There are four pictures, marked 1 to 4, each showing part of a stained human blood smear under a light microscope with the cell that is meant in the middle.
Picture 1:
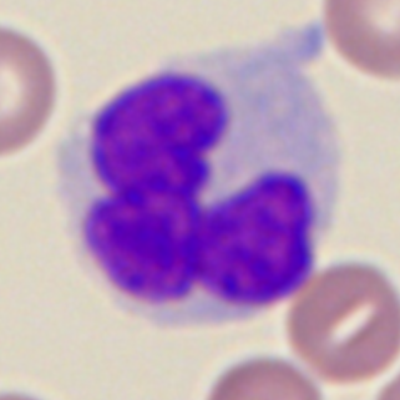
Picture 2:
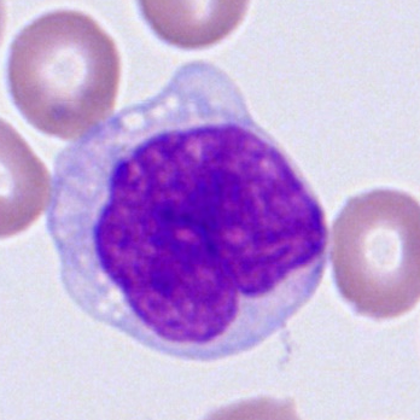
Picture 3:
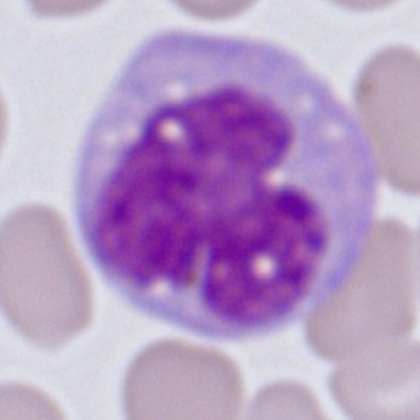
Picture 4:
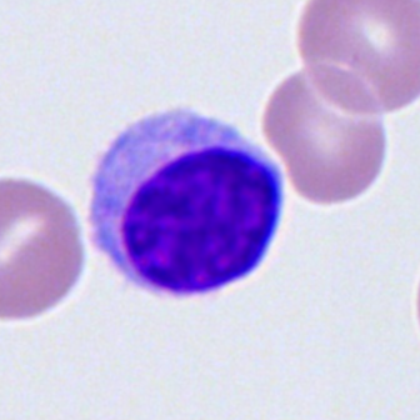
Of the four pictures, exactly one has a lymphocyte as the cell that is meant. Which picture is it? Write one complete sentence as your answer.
Picture 4 is the one that shows the lymphocyte.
